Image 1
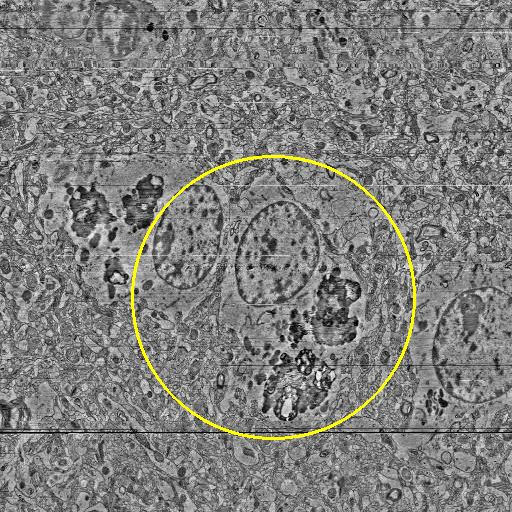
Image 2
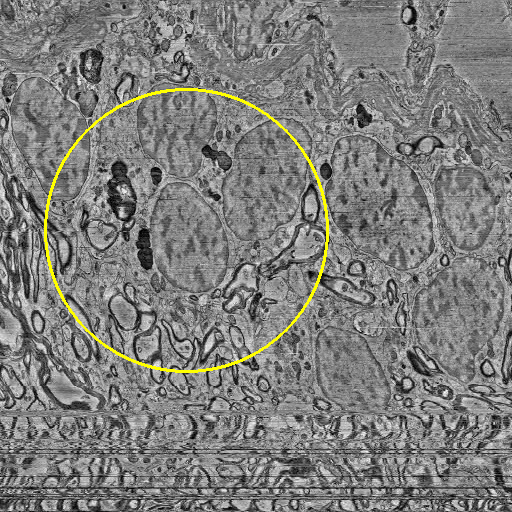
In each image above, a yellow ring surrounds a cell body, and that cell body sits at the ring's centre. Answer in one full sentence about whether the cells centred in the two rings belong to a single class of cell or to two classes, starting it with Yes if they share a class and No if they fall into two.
No, the cells centred in the two yellow rings belong to two classes of cell.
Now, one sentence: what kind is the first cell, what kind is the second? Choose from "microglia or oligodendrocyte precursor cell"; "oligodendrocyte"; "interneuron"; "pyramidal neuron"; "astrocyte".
The first picture has an astrocyte at its ring centre, and the second has an oligodendrocyte.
